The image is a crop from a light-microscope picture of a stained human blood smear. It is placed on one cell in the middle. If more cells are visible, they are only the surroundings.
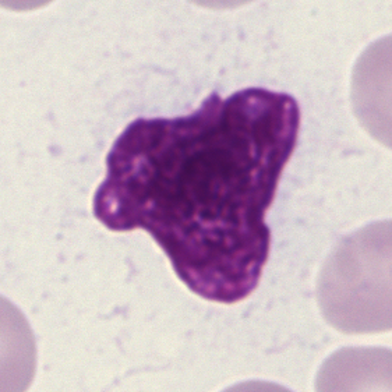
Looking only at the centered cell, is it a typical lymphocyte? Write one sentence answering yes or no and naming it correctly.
No, a smudge cell rather than a typical lymphocyte is the cell at the centre of the crop.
